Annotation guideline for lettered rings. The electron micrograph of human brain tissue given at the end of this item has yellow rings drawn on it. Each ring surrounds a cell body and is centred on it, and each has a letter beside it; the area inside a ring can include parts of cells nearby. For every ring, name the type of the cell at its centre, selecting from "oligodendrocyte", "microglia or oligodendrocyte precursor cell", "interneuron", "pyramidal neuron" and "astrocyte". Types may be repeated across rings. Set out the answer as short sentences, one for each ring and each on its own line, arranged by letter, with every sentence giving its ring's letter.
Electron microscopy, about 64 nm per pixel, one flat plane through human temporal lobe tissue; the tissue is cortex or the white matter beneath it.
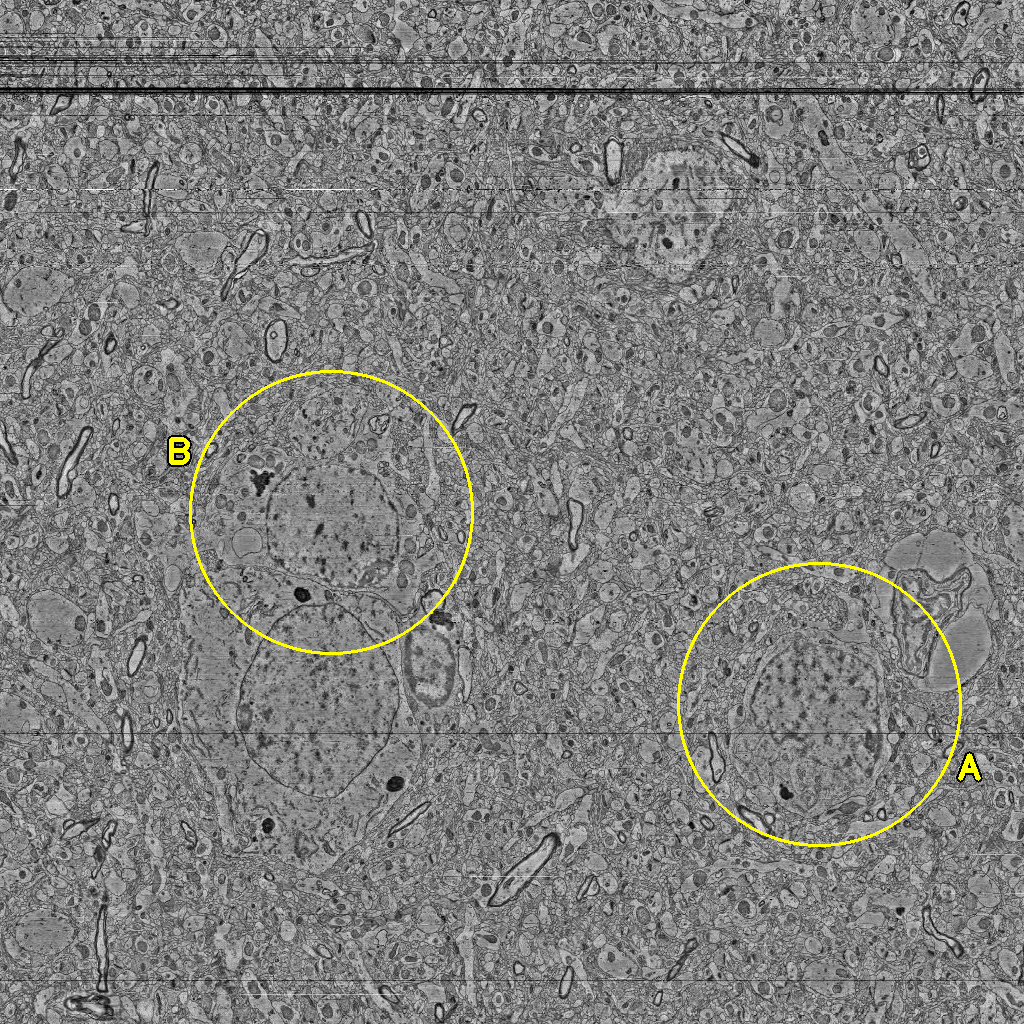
The cell centred in ring A is an interneuron.
The cell centred in ring B is an astrocyte.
